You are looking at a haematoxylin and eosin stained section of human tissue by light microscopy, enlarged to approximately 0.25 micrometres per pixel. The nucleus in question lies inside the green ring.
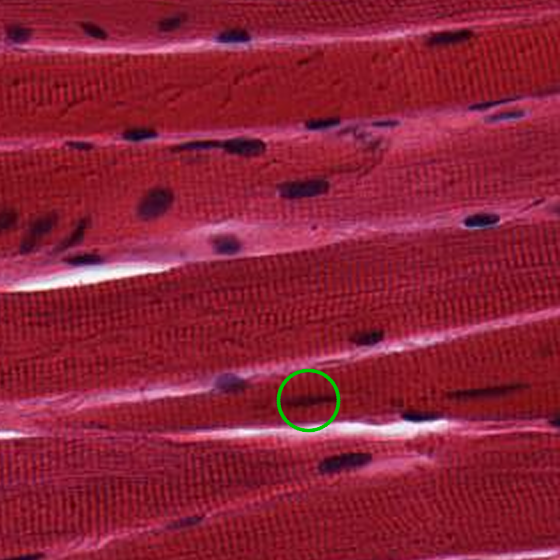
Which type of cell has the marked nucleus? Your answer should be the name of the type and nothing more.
skeletal muscle fibre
